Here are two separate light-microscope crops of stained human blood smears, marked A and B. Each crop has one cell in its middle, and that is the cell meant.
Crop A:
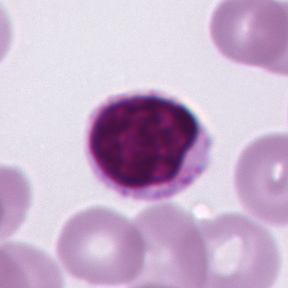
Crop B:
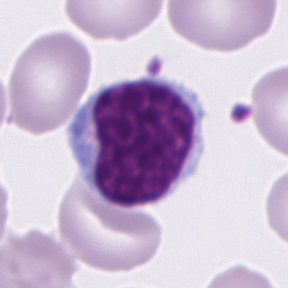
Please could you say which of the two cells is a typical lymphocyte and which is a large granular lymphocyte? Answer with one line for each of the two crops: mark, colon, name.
A: large granular lymphocyte
B: typical lymphocyte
